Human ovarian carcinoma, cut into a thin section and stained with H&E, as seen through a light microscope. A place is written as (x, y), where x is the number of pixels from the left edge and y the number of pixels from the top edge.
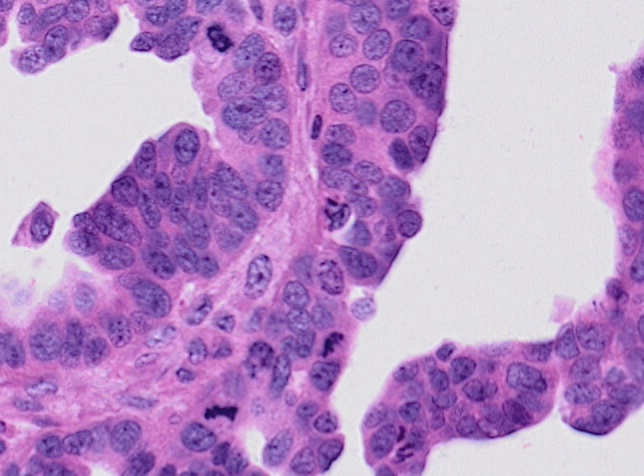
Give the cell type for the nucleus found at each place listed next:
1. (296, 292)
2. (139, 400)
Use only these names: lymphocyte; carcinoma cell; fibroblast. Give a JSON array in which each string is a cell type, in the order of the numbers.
["carcinoma cell", "fibroblast"]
